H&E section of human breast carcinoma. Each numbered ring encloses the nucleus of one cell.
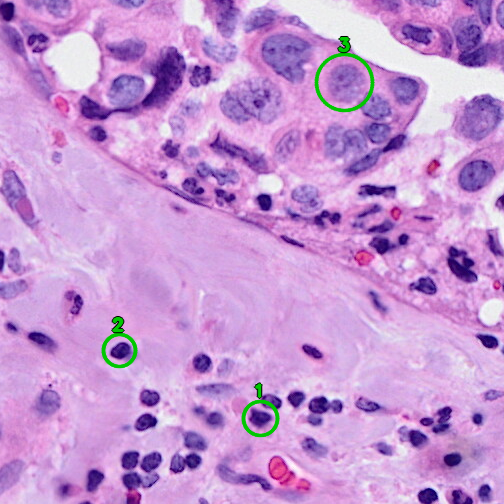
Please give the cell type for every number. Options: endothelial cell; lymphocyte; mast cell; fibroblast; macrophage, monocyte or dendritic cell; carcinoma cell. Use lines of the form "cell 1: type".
cell 1: lymphocyte
cell 2: lymphocyte
cell 3: carcinoma cell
